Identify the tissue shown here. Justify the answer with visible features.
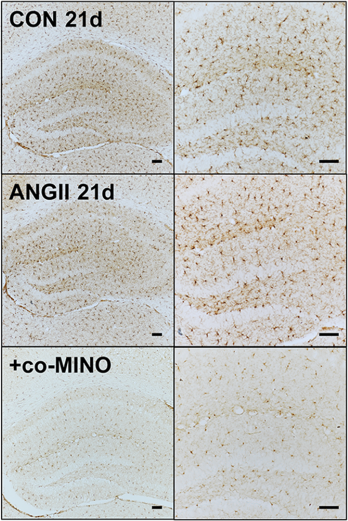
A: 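Hippocampus. The low-power images show curved, interlocking C-shaped bands of tissue. A paler curved cell layer runs through the tissue, outlining the typical folded shape.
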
